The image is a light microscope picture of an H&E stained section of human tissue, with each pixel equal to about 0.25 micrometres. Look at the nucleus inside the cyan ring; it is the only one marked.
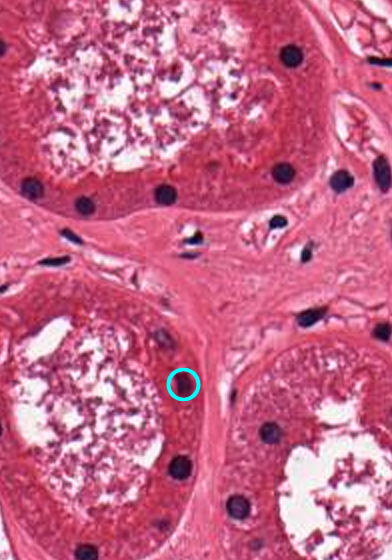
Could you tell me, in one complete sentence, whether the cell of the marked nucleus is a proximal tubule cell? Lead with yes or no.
Yes, the marked nucleus, as shown, belongs to a proximal tubule cell.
